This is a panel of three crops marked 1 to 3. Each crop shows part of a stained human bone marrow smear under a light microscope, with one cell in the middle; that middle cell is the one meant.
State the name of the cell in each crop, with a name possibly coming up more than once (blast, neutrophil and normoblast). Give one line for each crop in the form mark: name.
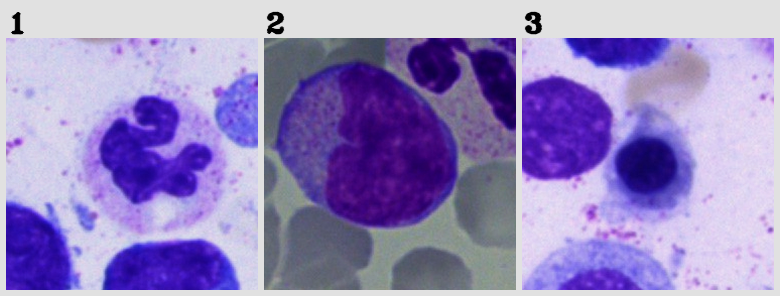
1: neutrophil
2: blast
3: normoblast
